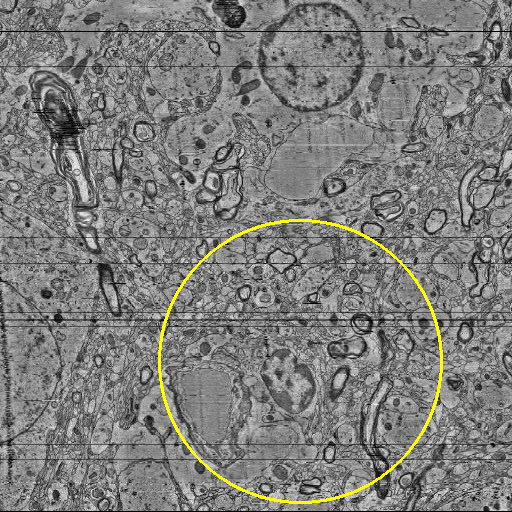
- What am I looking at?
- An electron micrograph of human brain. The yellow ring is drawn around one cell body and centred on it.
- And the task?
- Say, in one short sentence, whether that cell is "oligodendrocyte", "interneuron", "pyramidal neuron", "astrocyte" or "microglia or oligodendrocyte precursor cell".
The cell in the middle of the ring is a microglial cell or oligodendrocyte precursor cell.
